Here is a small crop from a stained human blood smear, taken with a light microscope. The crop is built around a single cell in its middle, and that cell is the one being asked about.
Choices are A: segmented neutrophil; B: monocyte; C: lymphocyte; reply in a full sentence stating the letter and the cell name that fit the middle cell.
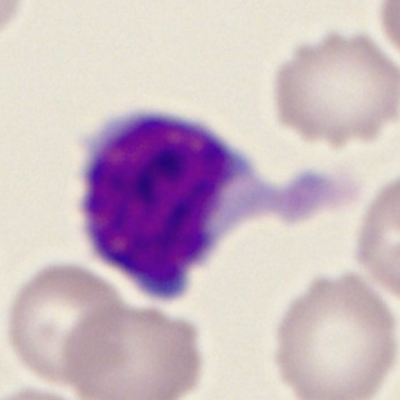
The correct identification, given in option C, is that the central cell is a lymphocyte.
